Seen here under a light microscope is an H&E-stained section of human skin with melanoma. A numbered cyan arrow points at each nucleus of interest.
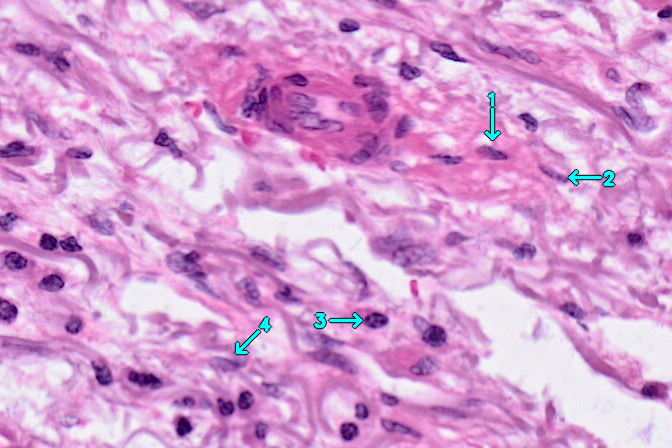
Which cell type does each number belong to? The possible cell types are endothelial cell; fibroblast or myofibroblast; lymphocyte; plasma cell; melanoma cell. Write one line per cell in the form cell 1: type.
cell 1: fibroblast or myofibroblast
cell 2: fibroblast or myofibroblast
cell 3: plasma cell
cell 4: fibroblast or myofibroblast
